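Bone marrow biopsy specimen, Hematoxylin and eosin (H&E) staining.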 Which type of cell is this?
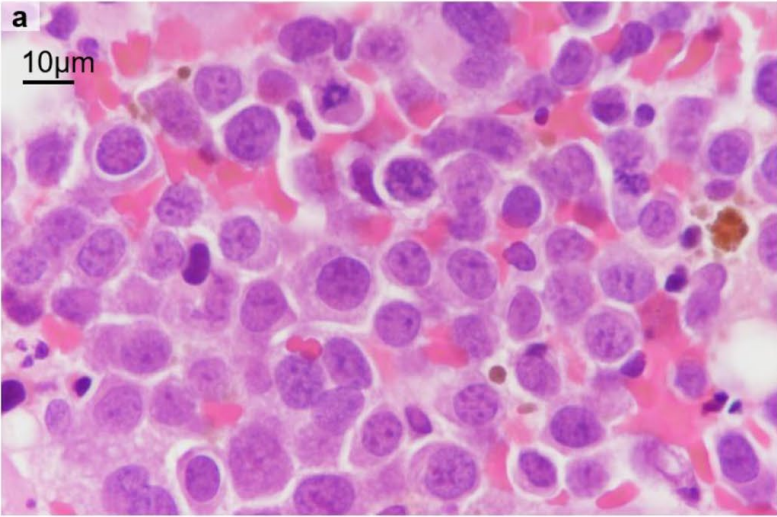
blasts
